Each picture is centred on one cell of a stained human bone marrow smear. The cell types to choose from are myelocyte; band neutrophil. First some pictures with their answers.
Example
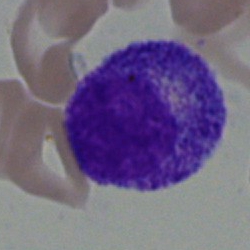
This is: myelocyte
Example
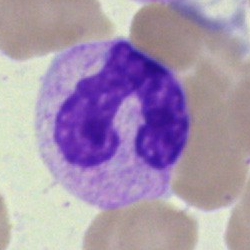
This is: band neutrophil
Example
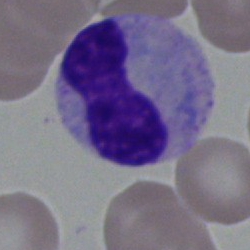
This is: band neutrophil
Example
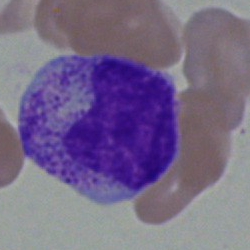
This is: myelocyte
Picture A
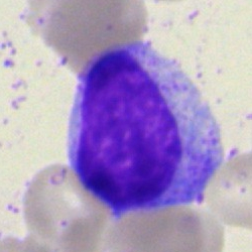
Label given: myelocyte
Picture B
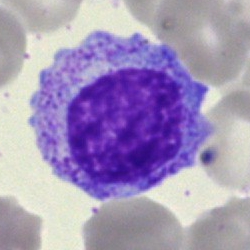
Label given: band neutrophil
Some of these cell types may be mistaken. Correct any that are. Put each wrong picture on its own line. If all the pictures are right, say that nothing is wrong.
B should be myelocyte, not band neutrophil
